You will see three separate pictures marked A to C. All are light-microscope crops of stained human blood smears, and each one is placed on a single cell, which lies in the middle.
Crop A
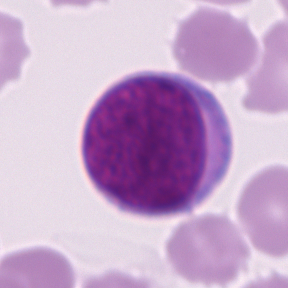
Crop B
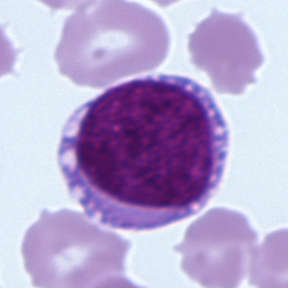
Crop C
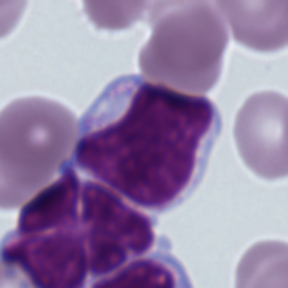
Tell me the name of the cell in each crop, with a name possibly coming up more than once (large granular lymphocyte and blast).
A: blast
B: blast
C: large granular lymphocyte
